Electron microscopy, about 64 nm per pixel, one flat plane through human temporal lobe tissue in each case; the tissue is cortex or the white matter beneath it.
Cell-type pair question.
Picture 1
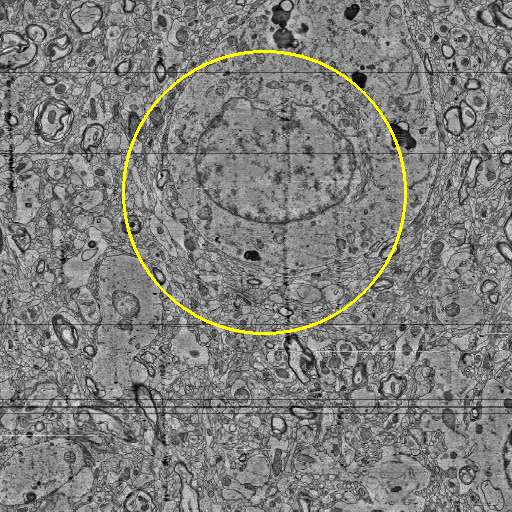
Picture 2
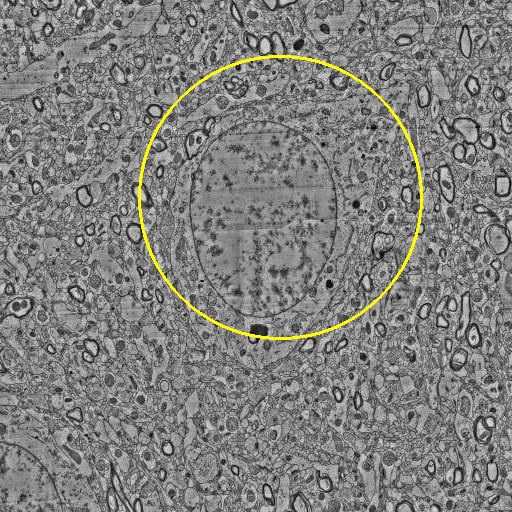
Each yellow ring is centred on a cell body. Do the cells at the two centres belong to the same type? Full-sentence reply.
Yes, the two cells belong to the same type.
